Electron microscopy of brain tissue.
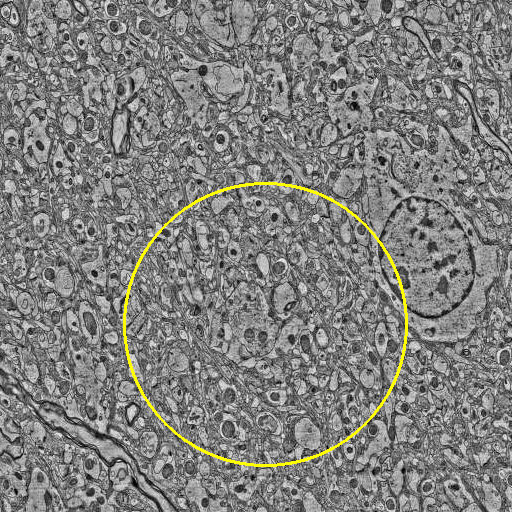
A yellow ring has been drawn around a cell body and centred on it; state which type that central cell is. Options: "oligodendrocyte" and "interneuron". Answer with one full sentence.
The cell at the middle of the yellow ring is an interneuron in this picture.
